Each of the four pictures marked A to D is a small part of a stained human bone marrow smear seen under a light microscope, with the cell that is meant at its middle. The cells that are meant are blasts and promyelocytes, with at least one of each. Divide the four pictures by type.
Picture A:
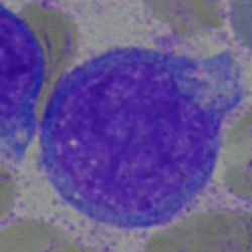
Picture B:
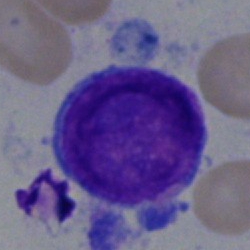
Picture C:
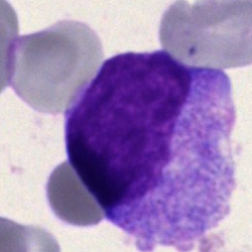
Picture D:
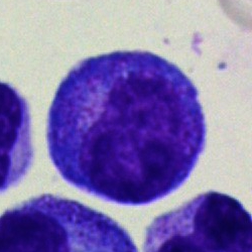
A: blast
B: blast
C: blast
D: promyelocyte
